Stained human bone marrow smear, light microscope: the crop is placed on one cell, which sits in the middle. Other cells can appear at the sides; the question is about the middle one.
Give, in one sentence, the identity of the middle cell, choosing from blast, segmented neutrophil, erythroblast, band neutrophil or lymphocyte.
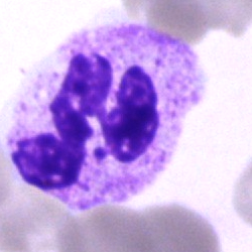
In this smear crop, the middle cell is a segmented neutrophil.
